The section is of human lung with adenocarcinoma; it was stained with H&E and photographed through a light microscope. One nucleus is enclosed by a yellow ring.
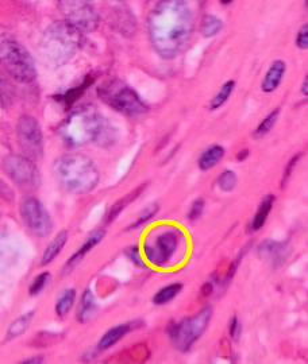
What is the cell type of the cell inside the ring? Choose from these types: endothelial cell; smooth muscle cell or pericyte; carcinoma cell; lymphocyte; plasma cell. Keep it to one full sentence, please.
As a matter of cell type, the cell inside the ring is a plasma cell.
